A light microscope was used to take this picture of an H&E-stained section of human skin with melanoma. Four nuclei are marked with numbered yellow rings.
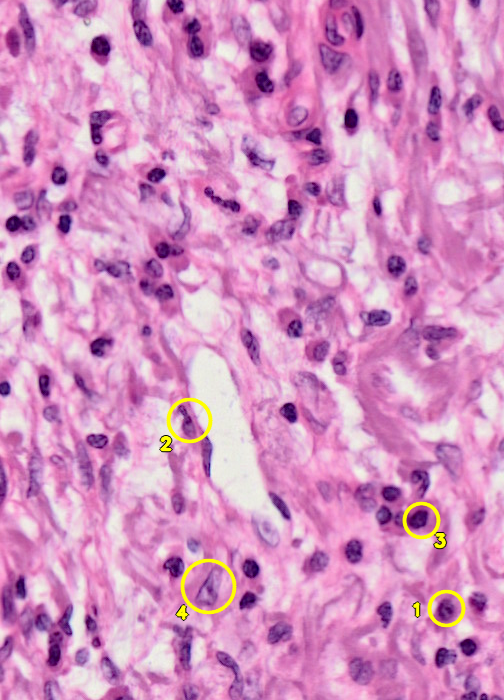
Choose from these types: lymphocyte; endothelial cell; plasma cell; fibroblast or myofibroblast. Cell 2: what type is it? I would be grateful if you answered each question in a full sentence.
The cell whose nucleus carries the number 2 is a fibroblast or myofibroblast.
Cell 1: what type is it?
The cell numbered 1 represents a plasma cell.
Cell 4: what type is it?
Of the numbered cells, the one labelled 4 is a fibroblast or myofibroblast.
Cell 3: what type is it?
It is as a plasma cell that the cell numbered 3 is identified.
